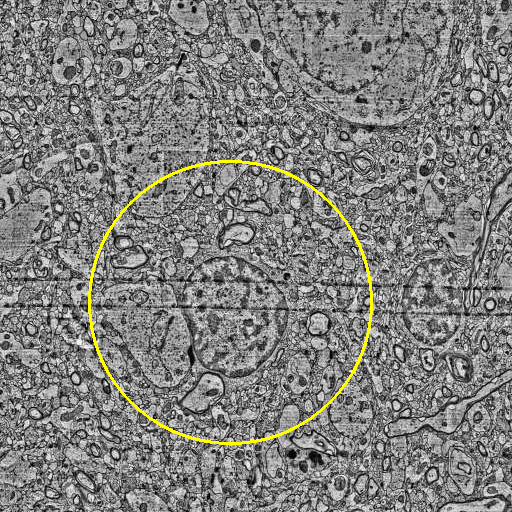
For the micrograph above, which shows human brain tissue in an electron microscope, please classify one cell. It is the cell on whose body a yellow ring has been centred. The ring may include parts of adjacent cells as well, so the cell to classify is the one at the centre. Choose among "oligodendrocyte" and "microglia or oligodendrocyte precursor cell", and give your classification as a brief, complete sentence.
I classify this cell as an oligodendrocyte.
